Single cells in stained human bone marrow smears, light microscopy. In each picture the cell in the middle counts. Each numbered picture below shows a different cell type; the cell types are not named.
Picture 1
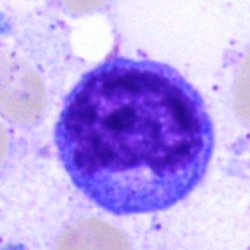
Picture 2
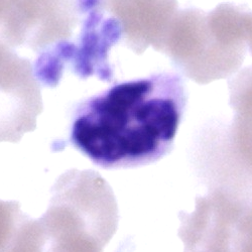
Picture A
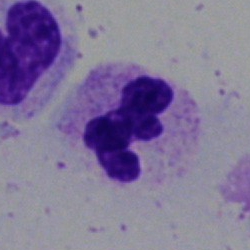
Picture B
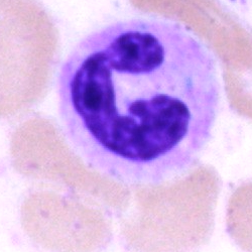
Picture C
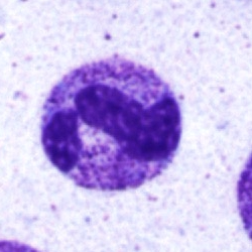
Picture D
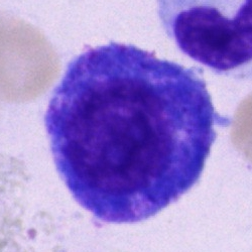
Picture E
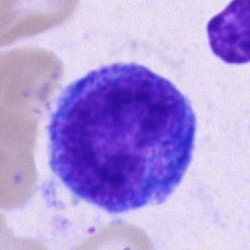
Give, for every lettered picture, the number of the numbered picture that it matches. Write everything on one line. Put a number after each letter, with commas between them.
A 2, B 2, C 2, D 1, E 1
